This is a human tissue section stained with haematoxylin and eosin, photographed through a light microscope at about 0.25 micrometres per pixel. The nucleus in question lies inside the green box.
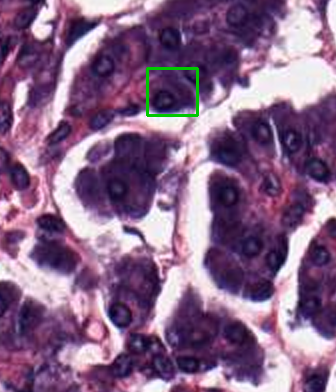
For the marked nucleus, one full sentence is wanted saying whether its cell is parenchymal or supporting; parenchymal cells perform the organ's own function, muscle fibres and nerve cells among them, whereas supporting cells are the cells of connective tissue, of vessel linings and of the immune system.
The marked nucleus is found in a parenchymal cell, namely a pancreatic acinar cell.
